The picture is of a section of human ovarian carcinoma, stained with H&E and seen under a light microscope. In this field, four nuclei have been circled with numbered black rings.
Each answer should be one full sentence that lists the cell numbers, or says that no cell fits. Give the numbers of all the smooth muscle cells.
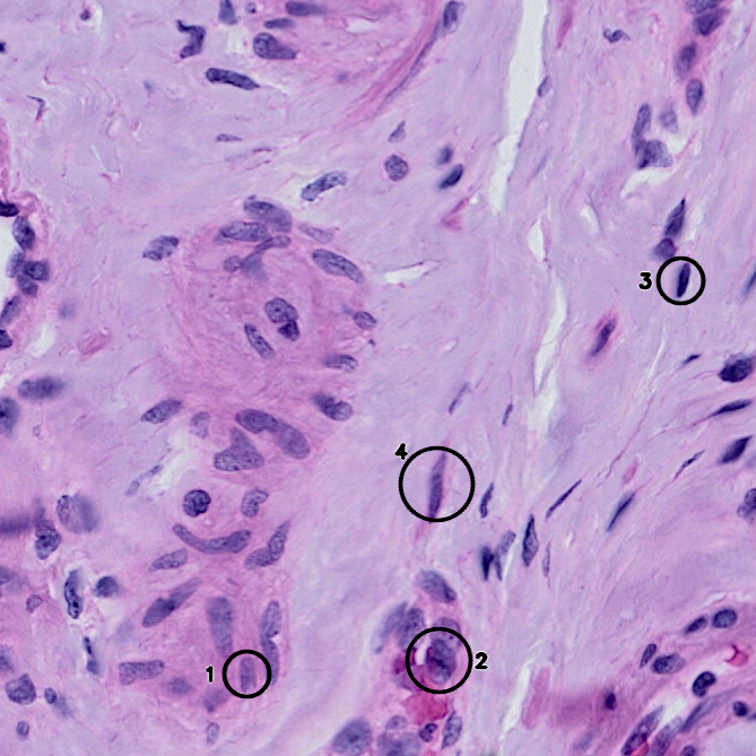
The cells picked out by numbers 1 and 4 are smooth muscle cells.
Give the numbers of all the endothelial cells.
Only cell 2 should be marked as an endothelial cell.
